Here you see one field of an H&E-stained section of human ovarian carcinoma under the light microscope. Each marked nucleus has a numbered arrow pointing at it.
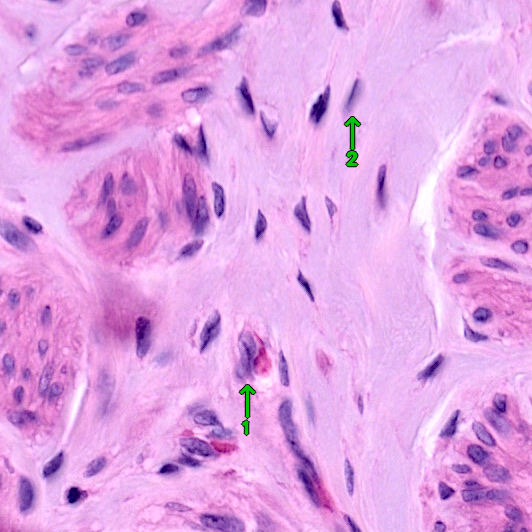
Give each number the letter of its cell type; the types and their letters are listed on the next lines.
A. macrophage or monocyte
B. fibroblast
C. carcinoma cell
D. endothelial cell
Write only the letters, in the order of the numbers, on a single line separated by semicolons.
D; B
